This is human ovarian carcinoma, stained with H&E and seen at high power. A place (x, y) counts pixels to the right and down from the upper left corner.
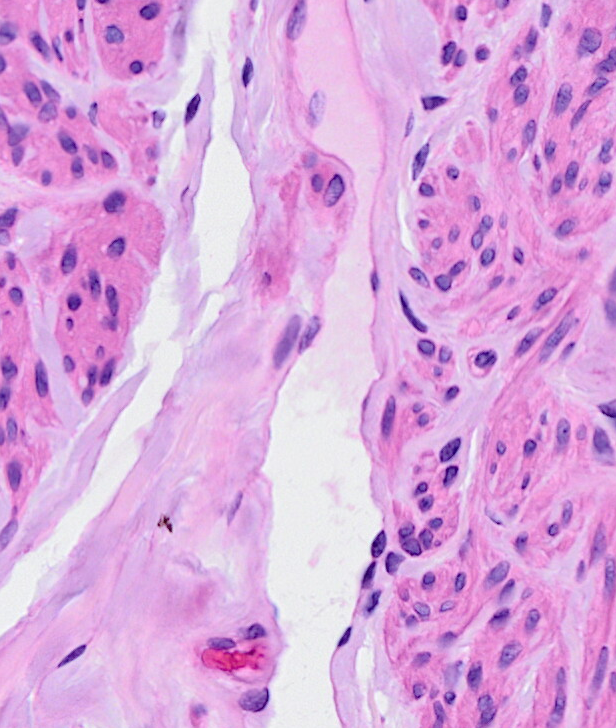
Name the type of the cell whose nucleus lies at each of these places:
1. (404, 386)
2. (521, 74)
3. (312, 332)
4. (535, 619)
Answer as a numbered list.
1. smooth muscle cell
2. smooth muscle cell
3. endothelial cell
4. smooth muscle cell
